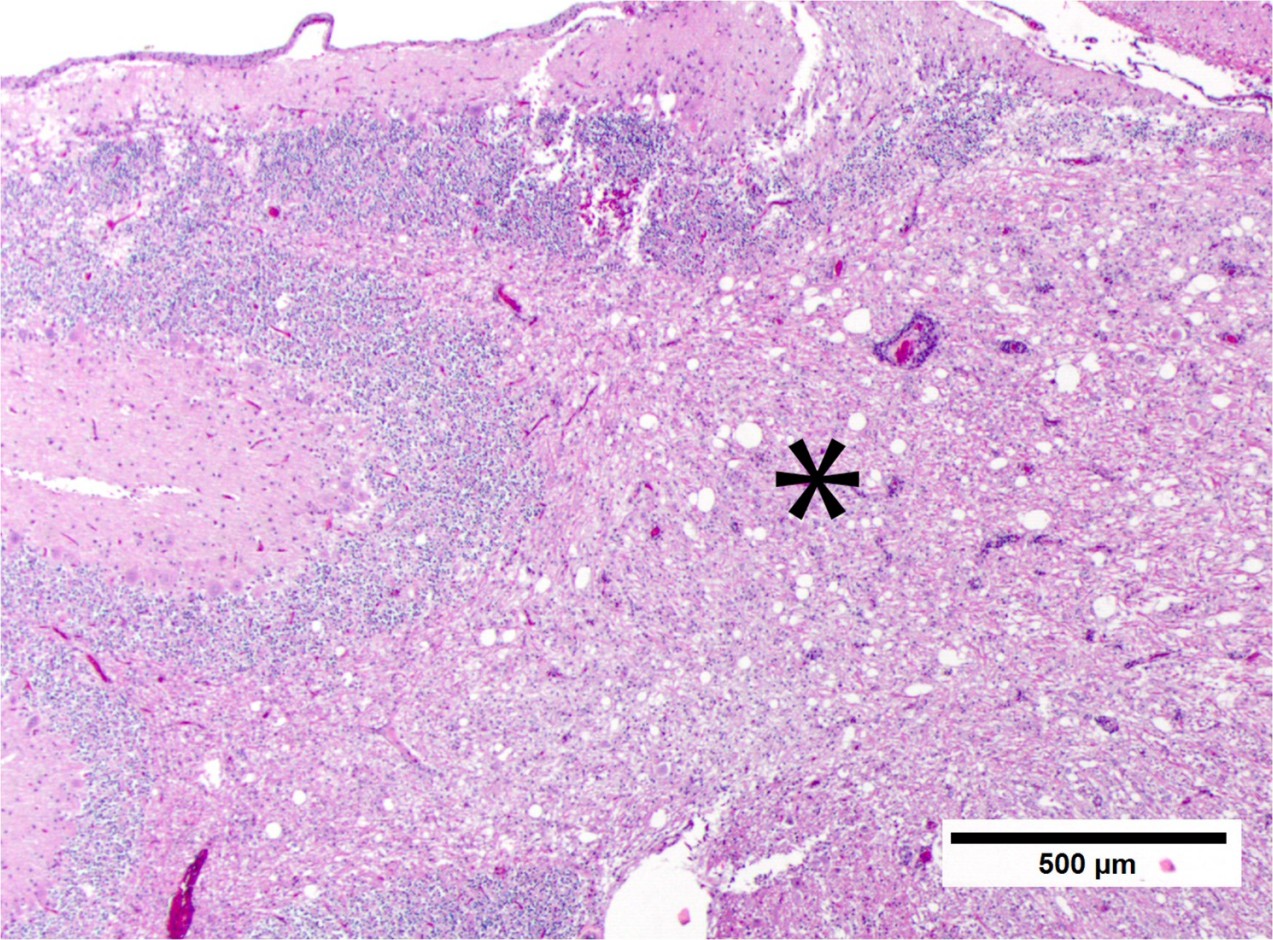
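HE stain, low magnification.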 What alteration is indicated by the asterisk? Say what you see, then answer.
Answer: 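The pale fibrous region around the asterisk holds many round, clear, empty spaces of varying size. This region lies deep to folia with a dense blue granular layer and a pale pink molecular layer. The cortex at left has few or no such clear spaces.
Cerebellar white matter vacuolization.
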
